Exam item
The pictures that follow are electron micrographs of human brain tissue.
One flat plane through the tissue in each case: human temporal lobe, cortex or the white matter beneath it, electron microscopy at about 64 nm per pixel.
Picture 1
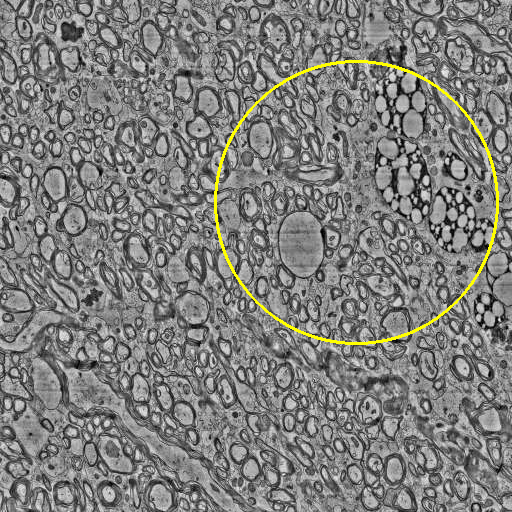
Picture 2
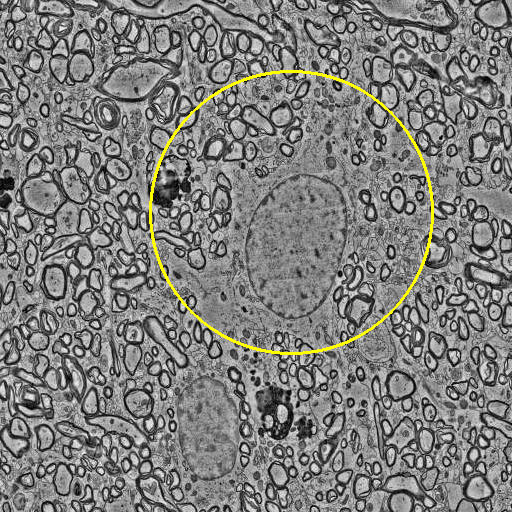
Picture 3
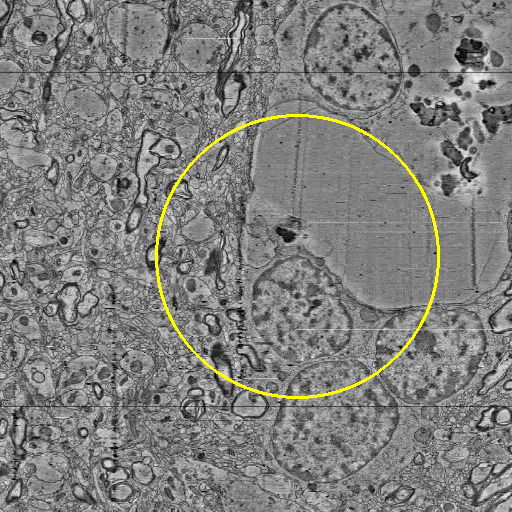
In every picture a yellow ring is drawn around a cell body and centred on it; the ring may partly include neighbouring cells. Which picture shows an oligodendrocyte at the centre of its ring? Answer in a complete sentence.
The cell at the centre of the ring in Picture 3 is the one asked for.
